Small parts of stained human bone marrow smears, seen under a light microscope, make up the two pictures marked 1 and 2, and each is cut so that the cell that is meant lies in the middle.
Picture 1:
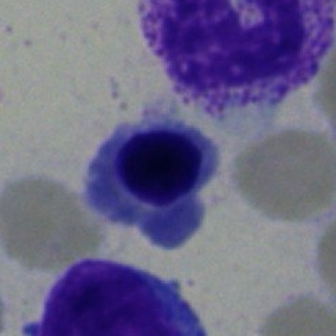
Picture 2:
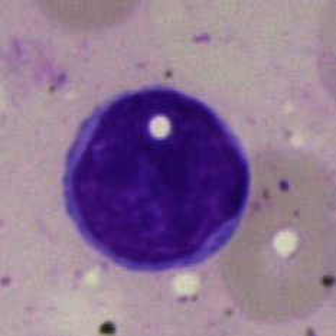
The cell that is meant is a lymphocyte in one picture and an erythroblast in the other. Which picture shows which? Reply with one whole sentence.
Picture 1 is of an erythroblast, and picture 2 is of a lymphocyte.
